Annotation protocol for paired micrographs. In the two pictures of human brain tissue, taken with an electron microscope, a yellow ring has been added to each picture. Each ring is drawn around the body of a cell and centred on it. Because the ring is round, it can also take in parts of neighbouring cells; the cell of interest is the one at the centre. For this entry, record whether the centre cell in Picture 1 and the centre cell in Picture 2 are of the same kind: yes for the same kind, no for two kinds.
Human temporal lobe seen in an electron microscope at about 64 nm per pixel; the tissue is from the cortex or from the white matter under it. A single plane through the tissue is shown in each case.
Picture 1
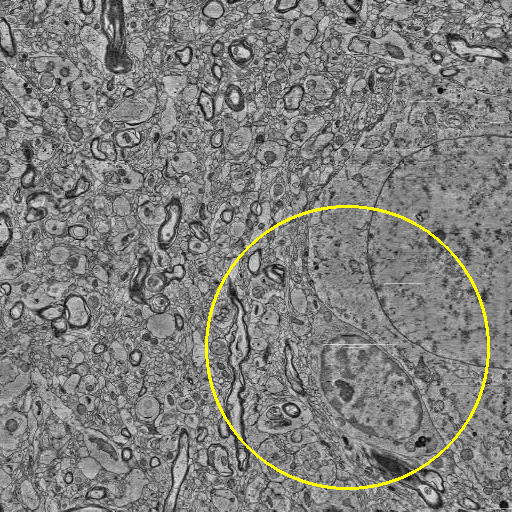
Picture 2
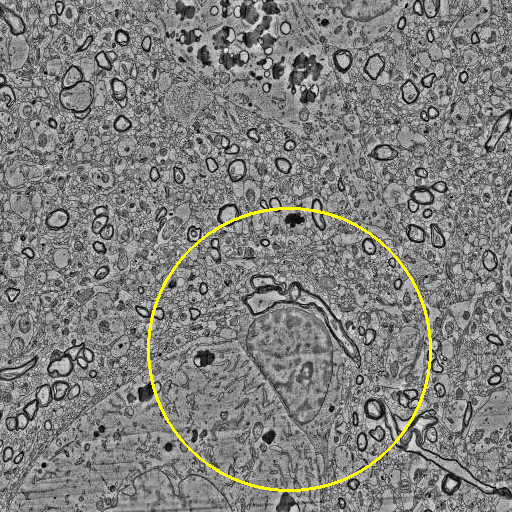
yes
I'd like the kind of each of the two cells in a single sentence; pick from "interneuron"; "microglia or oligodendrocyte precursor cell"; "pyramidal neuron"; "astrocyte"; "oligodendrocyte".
Each cell, in the first picture and the second, is an oligodendrocyte.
